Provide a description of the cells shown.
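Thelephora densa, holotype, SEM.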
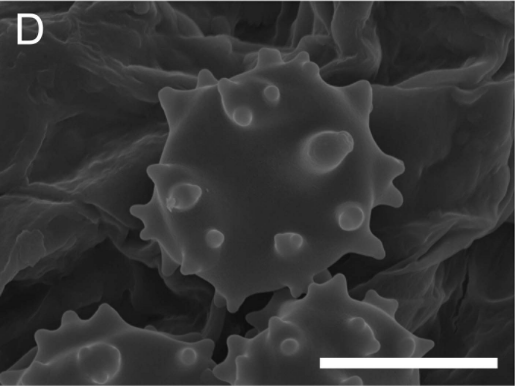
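A single roughly spherical spore sits on a crumpled background, its surface studded with conical spines and rounded, knob-like warts. Between the projections the wall is smooth. Parts of similar spiny spores show at the lower edge.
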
